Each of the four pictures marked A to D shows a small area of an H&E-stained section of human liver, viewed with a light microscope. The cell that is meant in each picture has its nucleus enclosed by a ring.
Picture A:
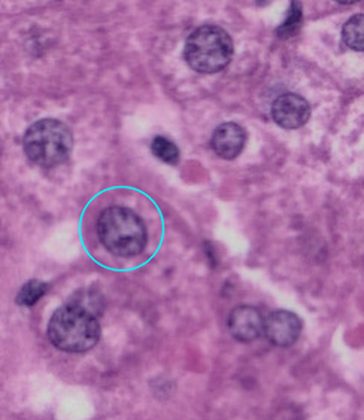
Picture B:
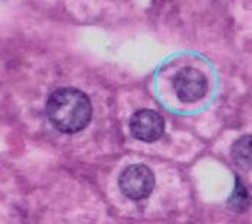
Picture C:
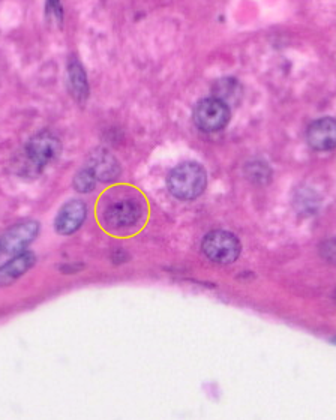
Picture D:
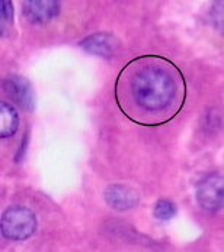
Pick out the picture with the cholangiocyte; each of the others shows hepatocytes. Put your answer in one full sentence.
Picture C is the one that shows the cholangiocyte.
